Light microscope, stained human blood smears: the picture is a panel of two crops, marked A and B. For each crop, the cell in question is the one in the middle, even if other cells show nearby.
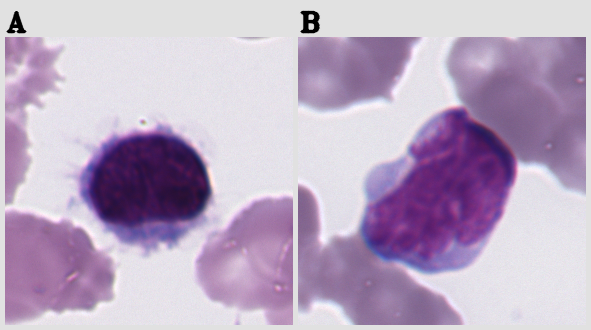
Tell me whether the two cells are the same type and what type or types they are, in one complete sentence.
No, shown in crop A is a hairy cell, and shown in crop B is a myeloblast.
